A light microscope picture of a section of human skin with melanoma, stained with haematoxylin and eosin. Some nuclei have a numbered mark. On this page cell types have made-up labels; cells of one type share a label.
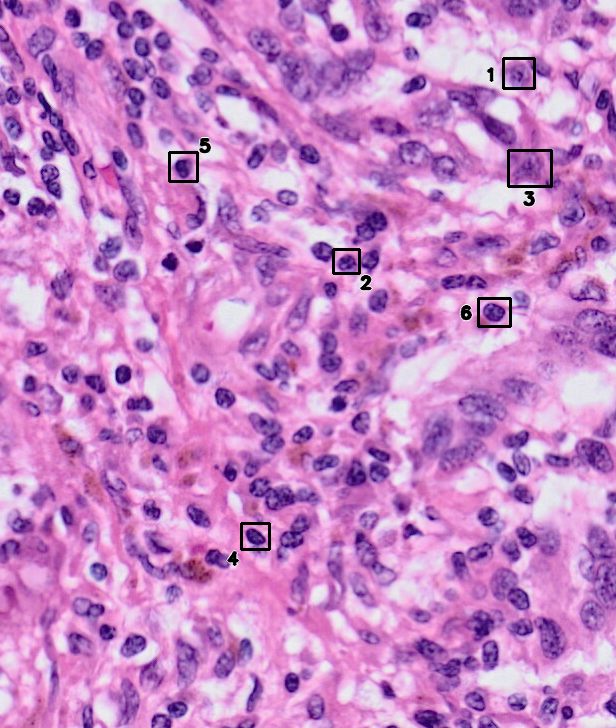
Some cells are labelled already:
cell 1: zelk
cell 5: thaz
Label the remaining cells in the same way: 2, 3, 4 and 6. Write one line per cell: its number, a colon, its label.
2: thaz
3: zelk
4: thaz
6: thaz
